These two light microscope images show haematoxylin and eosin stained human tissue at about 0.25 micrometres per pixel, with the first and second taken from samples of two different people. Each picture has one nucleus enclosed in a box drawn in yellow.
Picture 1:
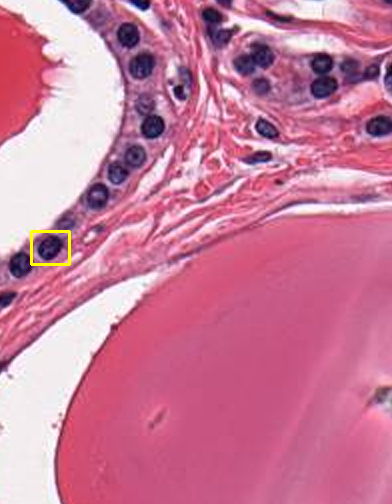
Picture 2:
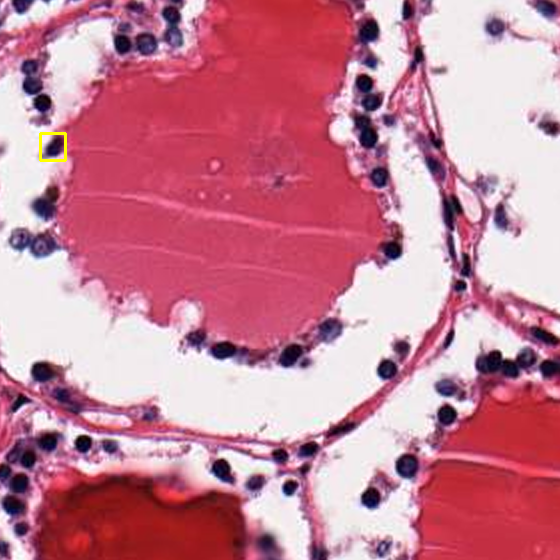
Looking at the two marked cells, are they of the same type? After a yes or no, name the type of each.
Yes, both are thyroid follicular cells.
